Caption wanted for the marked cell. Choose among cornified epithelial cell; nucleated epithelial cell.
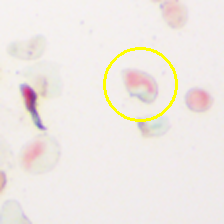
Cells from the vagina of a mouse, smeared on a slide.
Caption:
Ringed in yellow is a nucleated epithelial cell.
